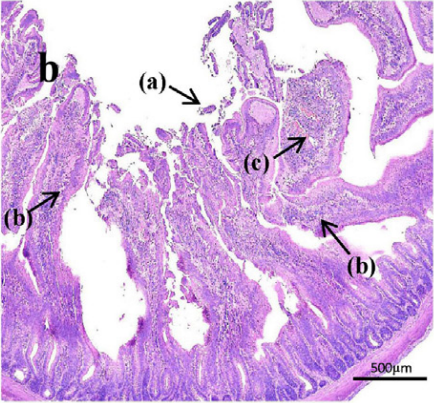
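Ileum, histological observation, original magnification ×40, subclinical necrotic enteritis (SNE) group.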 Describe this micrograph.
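Ileal mucosa in which the villi are ragged, shortened and broken, with fragments of epithelium lying free in the lumen. The cores of several villi are swollen and densely packed with small dark nuclei, and one contains reddish patches of congested blood. Crypts along the base of the mucosa remain in a regular row above the muscle layer.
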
